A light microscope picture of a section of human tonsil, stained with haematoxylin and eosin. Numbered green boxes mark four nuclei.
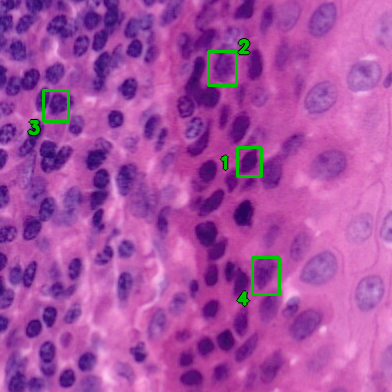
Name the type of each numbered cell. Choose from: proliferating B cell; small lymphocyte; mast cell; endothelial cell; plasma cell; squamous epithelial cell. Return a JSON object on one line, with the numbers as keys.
{"1": "squamous epithelial cell", "2": "squamous epithelial cell", "3": "plasma cell", "4": "squamous epithelial cell"}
